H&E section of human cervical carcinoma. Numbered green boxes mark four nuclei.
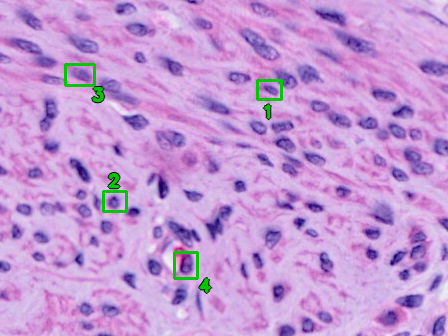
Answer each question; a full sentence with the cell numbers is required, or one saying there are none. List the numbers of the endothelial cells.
Only the cell carrying number 4 is an endothelial cell.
